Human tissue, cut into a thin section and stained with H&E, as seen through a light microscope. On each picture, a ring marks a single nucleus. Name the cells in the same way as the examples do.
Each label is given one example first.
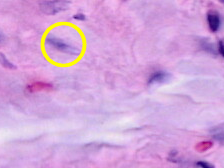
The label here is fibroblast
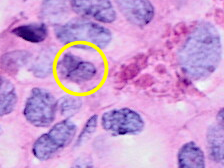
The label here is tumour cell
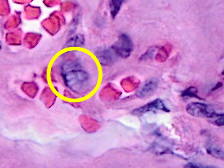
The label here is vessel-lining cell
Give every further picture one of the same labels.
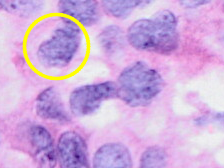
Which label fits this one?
tumour cell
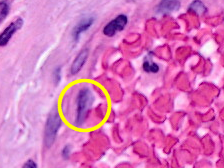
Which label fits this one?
vessel-lining cell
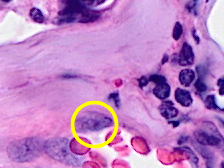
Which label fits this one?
vessel-lining cell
